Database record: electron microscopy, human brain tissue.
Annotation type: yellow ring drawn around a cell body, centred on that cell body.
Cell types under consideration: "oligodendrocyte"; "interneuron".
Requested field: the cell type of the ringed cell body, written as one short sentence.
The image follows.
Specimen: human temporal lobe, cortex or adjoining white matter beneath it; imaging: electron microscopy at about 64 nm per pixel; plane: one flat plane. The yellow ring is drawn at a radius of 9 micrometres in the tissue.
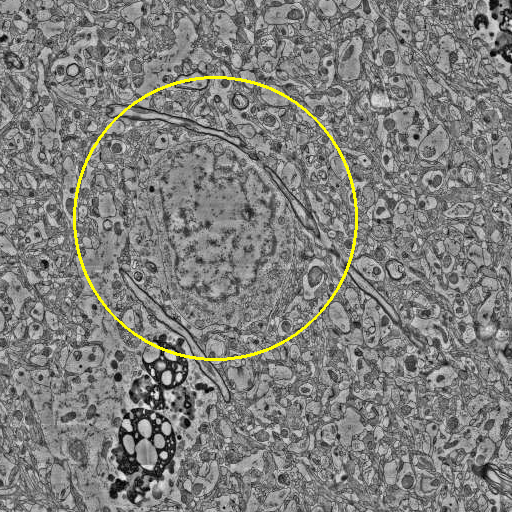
The ringed cell body represents an interneuron.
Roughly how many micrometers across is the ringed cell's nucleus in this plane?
The nucleus comes to roughly 10 by 7 micrometres in this plane.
